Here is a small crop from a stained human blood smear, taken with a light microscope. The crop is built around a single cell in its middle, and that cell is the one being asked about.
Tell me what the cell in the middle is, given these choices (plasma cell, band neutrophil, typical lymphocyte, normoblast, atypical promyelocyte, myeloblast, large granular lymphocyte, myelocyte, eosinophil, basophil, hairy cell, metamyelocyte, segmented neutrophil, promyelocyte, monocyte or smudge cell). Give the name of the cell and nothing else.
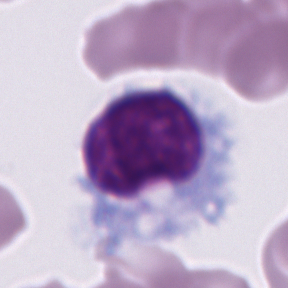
hairy cell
